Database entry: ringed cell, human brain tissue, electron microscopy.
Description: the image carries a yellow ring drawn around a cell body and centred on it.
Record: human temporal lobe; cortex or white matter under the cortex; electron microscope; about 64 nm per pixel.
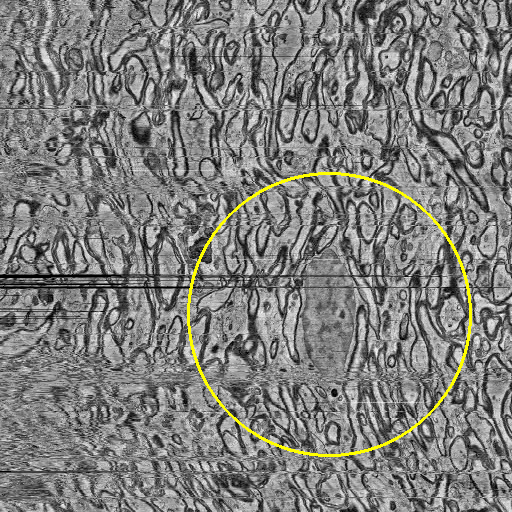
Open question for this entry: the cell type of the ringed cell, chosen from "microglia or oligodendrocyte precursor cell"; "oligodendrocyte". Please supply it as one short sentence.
The ringed cell is an oligodendrocyte.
